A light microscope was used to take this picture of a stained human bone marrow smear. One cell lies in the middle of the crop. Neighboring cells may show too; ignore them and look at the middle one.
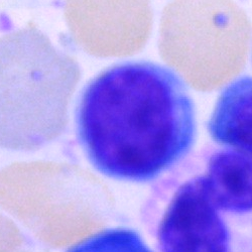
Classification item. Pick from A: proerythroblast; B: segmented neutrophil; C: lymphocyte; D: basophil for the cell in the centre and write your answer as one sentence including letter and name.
At the centre of the crop lies a lymphocyte, which makes option C correct.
